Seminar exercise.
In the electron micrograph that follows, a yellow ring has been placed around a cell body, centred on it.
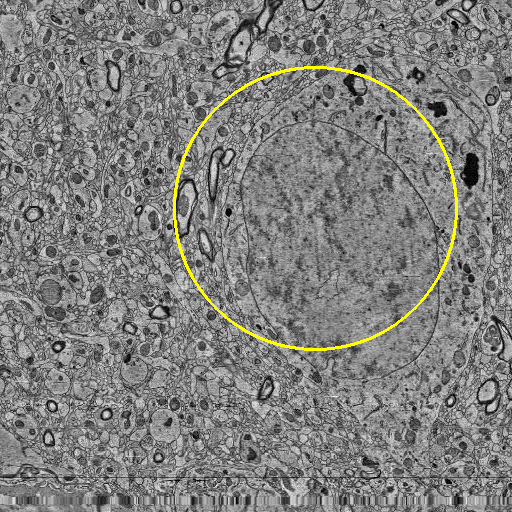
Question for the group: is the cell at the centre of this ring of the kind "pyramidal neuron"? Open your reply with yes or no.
Yes, the cell in the ring's centre is of that kind.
